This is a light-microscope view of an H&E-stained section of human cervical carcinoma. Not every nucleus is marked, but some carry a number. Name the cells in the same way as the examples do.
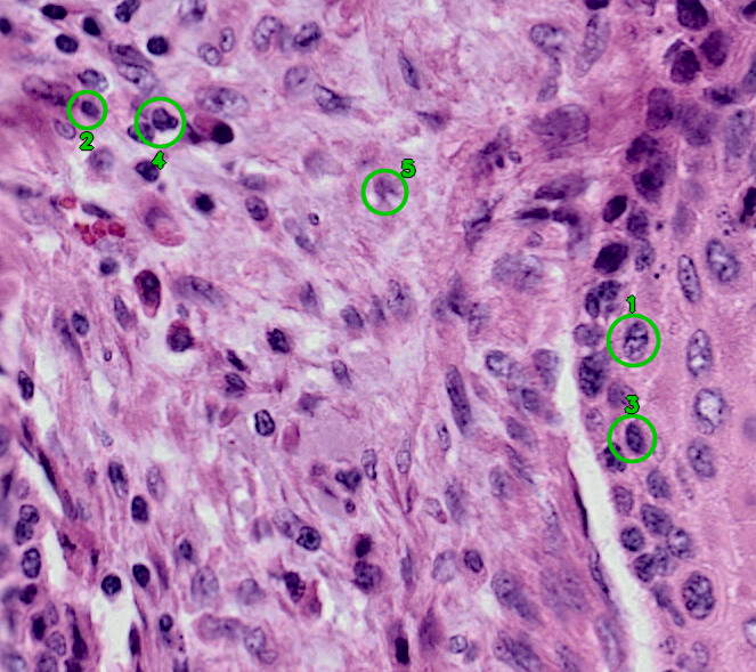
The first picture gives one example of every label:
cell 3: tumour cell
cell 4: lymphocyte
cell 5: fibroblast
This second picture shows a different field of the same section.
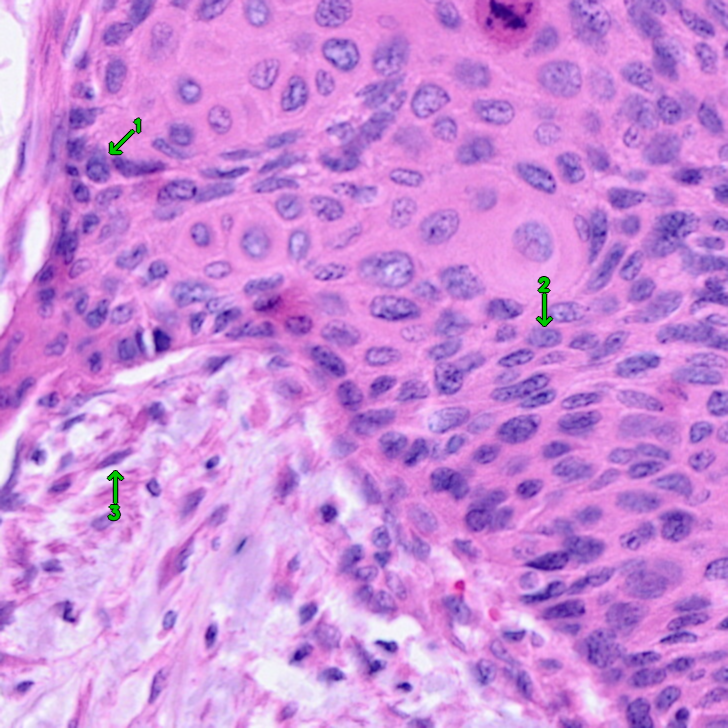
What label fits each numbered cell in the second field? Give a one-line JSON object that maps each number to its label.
{"1": "tumour cell", "2": "tumour cell", "3": "fibroblast"}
